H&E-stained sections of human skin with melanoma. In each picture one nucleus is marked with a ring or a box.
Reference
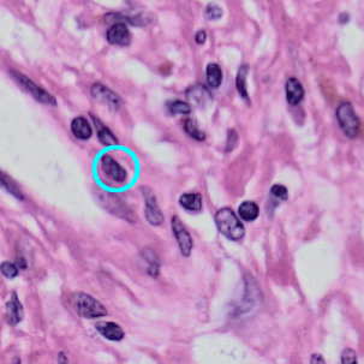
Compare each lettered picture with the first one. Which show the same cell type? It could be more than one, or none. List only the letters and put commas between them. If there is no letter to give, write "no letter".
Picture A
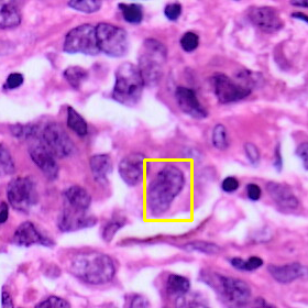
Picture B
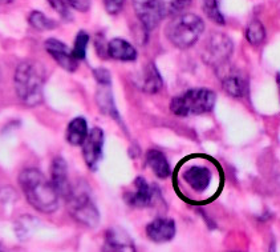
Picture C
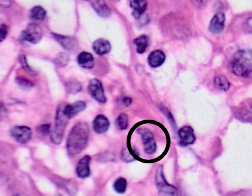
B, C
